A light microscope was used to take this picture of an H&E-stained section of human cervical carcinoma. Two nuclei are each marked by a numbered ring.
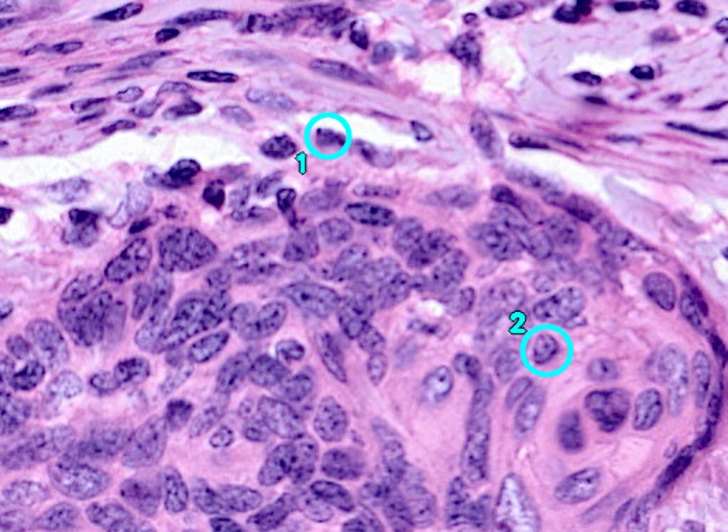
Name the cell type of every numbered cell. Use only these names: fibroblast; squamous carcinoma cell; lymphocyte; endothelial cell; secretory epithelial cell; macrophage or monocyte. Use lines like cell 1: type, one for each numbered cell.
cell 1: lymphocyte
cell 2: squamous carcinoma cell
